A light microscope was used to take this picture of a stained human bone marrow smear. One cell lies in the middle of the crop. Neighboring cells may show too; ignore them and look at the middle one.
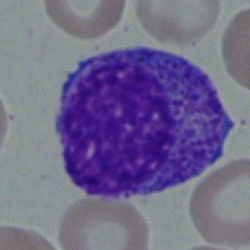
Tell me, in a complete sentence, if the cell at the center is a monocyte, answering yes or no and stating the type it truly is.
No, the middle of the crop holds a myelocyte, not a monocyte.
